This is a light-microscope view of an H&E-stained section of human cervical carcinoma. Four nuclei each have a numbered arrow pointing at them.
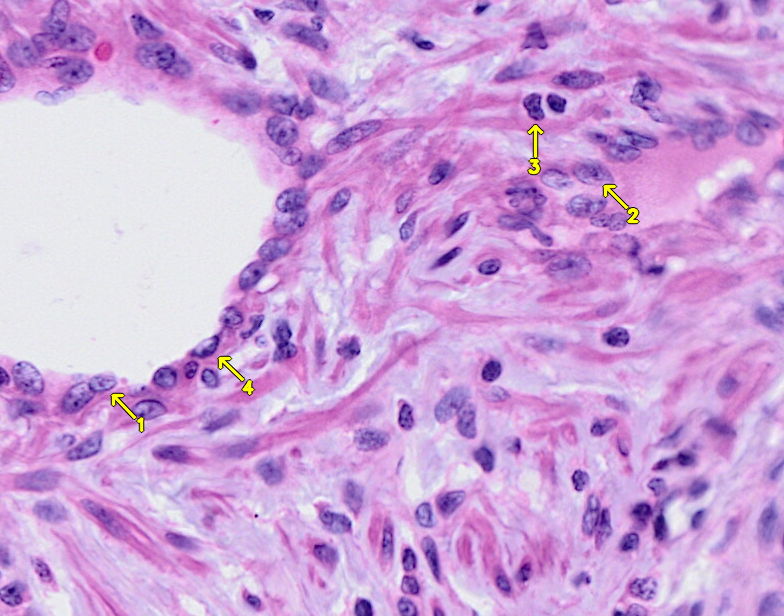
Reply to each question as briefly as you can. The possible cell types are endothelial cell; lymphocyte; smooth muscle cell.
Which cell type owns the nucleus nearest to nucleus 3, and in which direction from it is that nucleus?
a lymphocyte; to the right of nucleus 3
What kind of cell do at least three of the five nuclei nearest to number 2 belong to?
endothelial cell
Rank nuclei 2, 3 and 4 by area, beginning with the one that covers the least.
4, 3, 2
